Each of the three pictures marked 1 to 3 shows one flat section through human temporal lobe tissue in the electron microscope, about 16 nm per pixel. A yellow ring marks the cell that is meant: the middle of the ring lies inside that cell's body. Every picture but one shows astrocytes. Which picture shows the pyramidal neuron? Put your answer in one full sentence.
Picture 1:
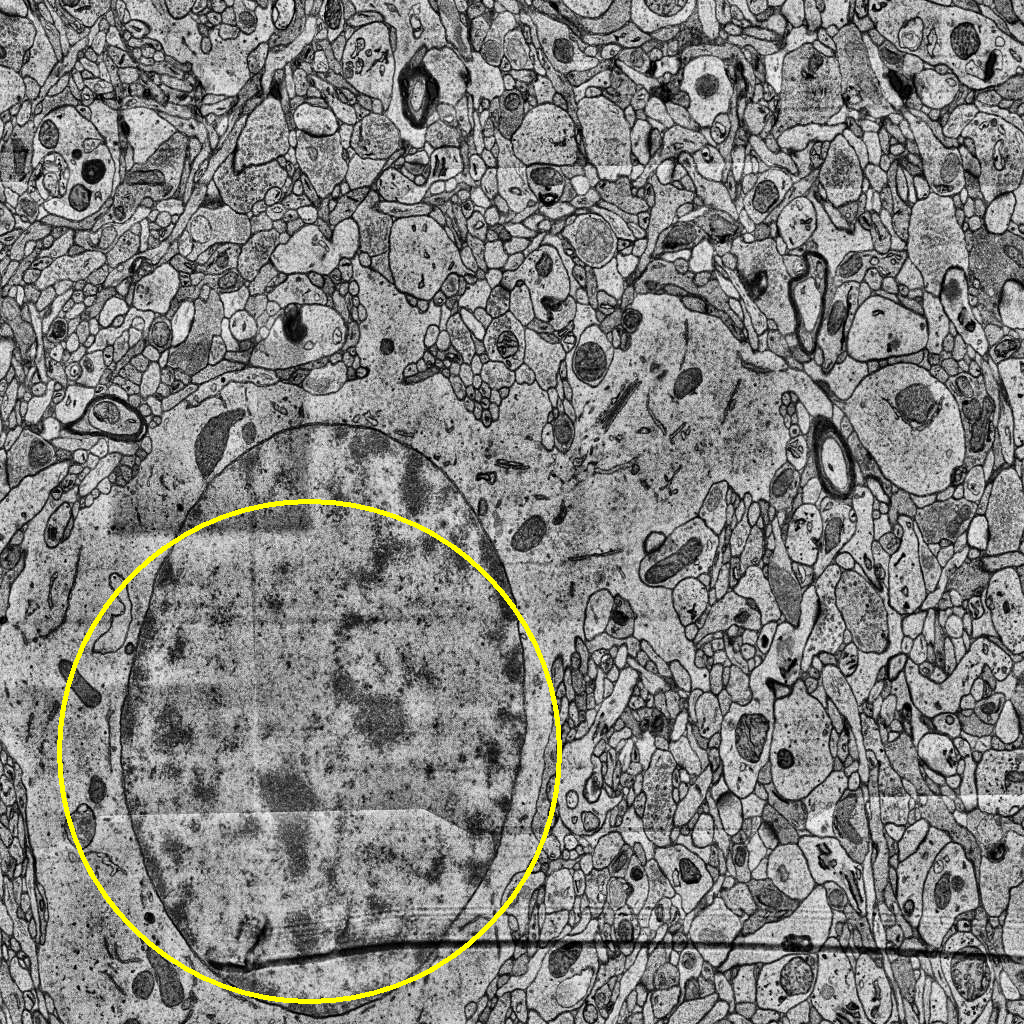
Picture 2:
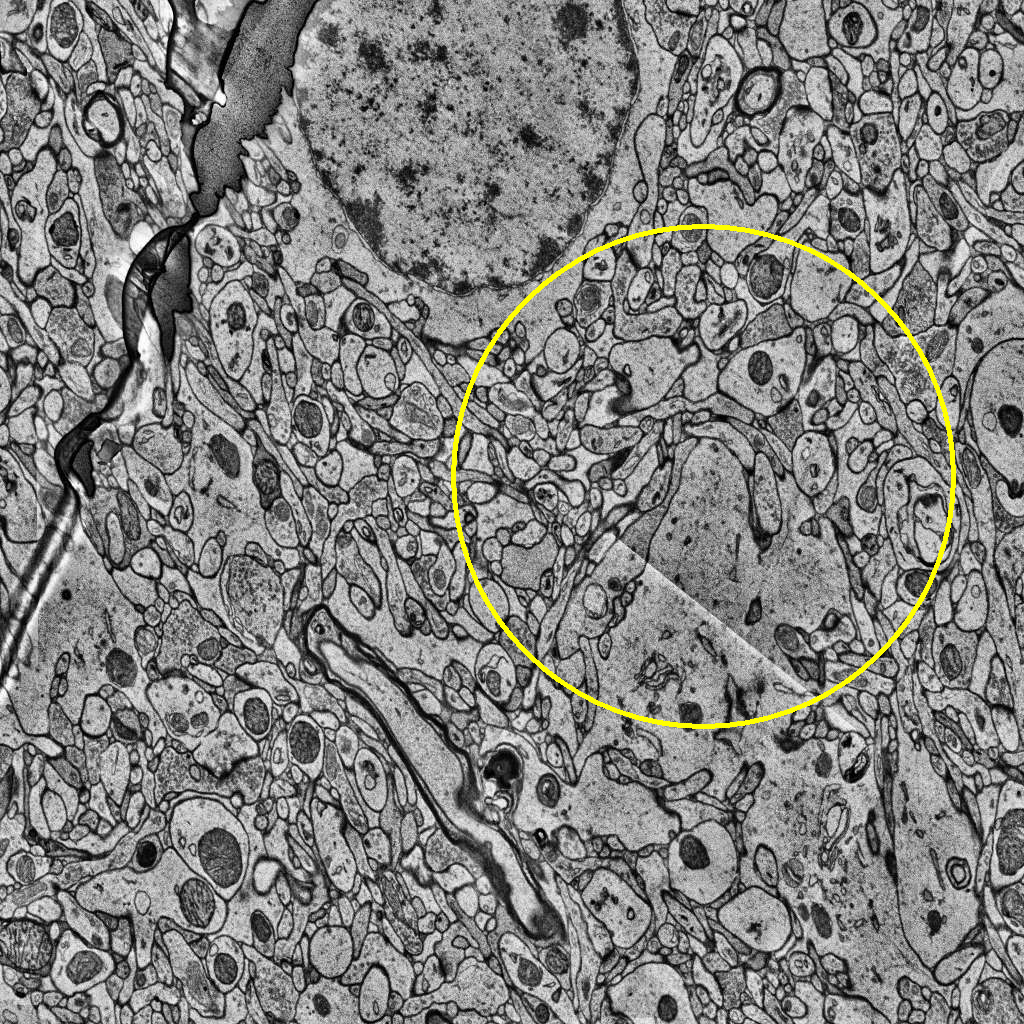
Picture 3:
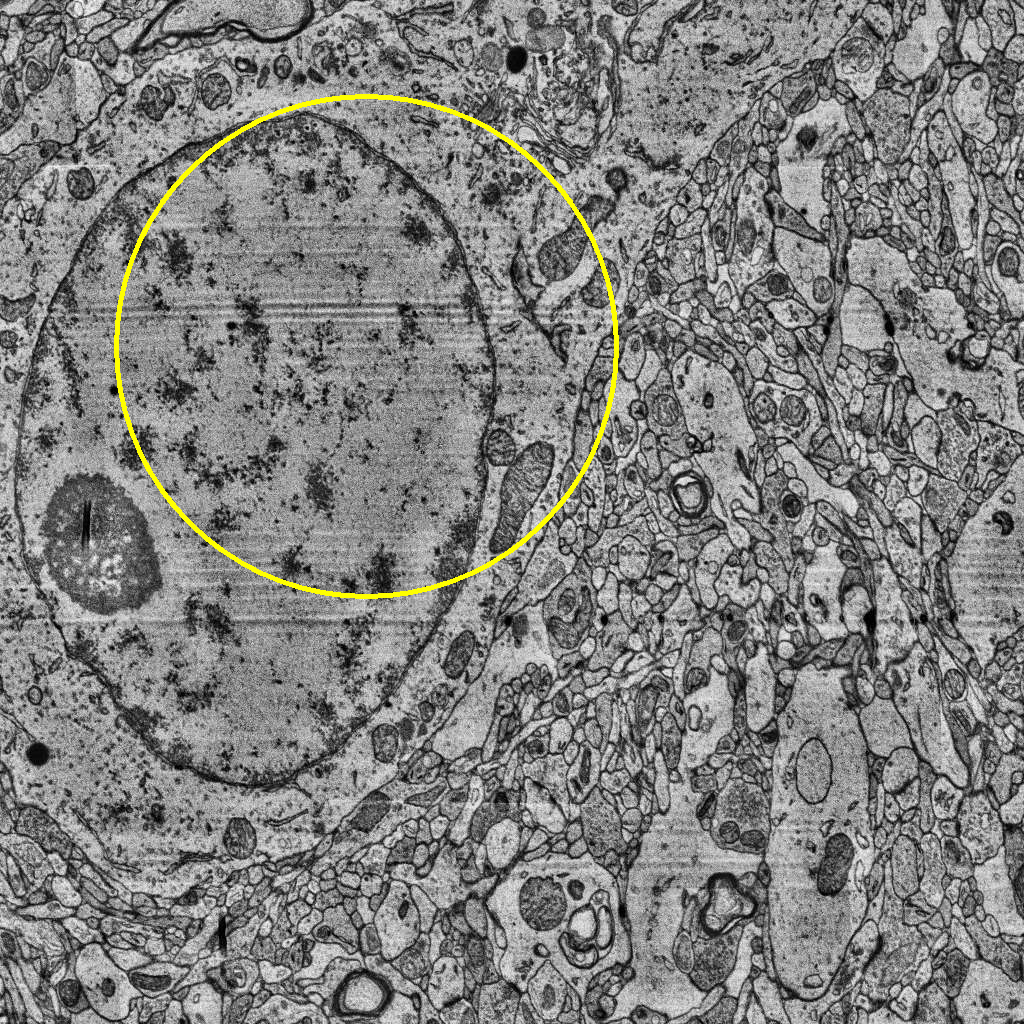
Picture 3 is the one that shows the pyramidal neuron.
